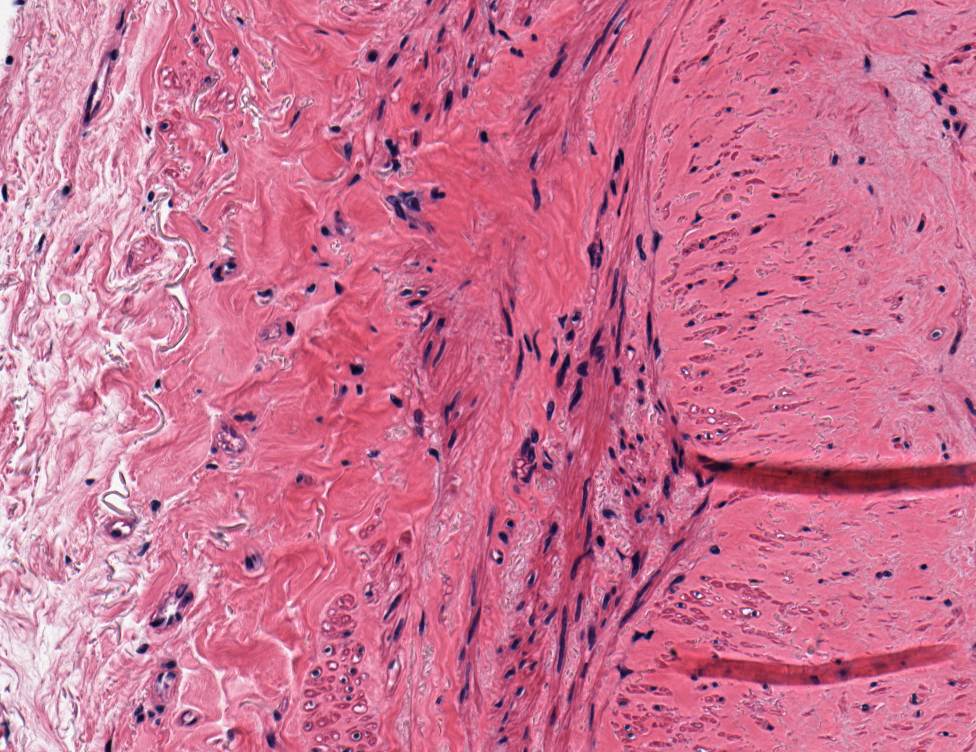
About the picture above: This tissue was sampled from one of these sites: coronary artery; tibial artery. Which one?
tibial artery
